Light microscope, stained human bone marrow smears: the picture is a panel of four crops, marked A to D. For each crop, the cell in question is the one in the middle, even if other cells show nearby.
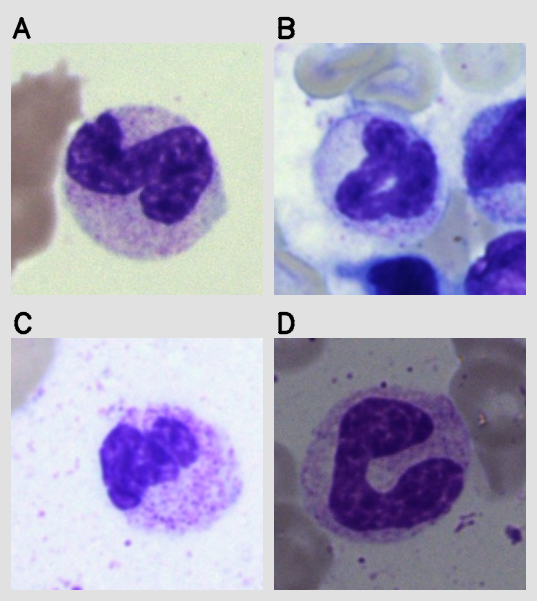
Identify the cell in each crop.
A: band neutrophil
B: band neutrophil
C: segmented neutrophil
D: segmented neutrophil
